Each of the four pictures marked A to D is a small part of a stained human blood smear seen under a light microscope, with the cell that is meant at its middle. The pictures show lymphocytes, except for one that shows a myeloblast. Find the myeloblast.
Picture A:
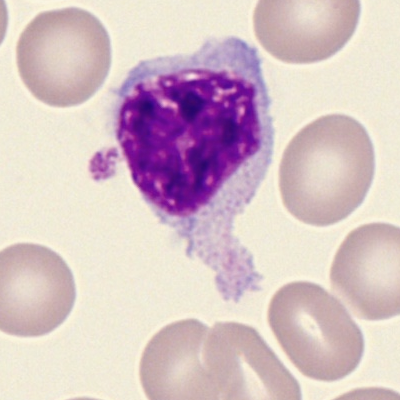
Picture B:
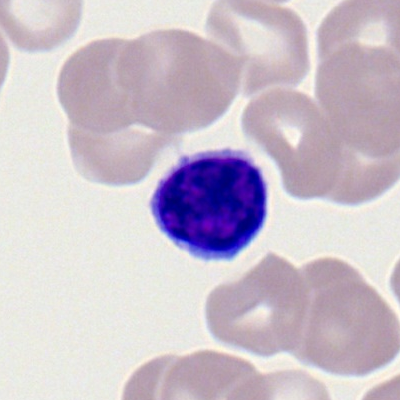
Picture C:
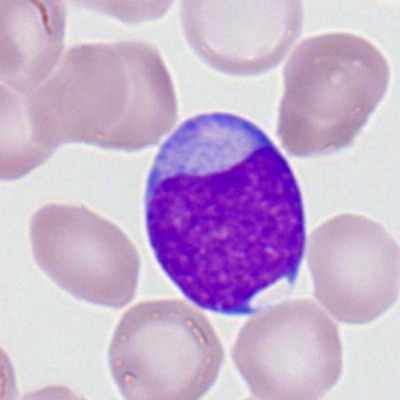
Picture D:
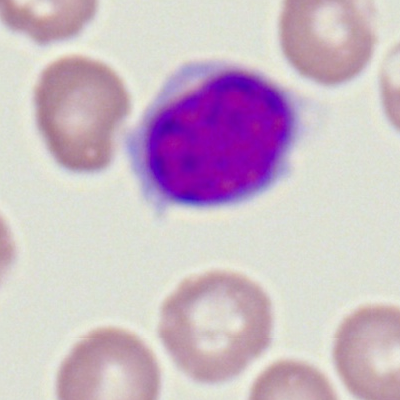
C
